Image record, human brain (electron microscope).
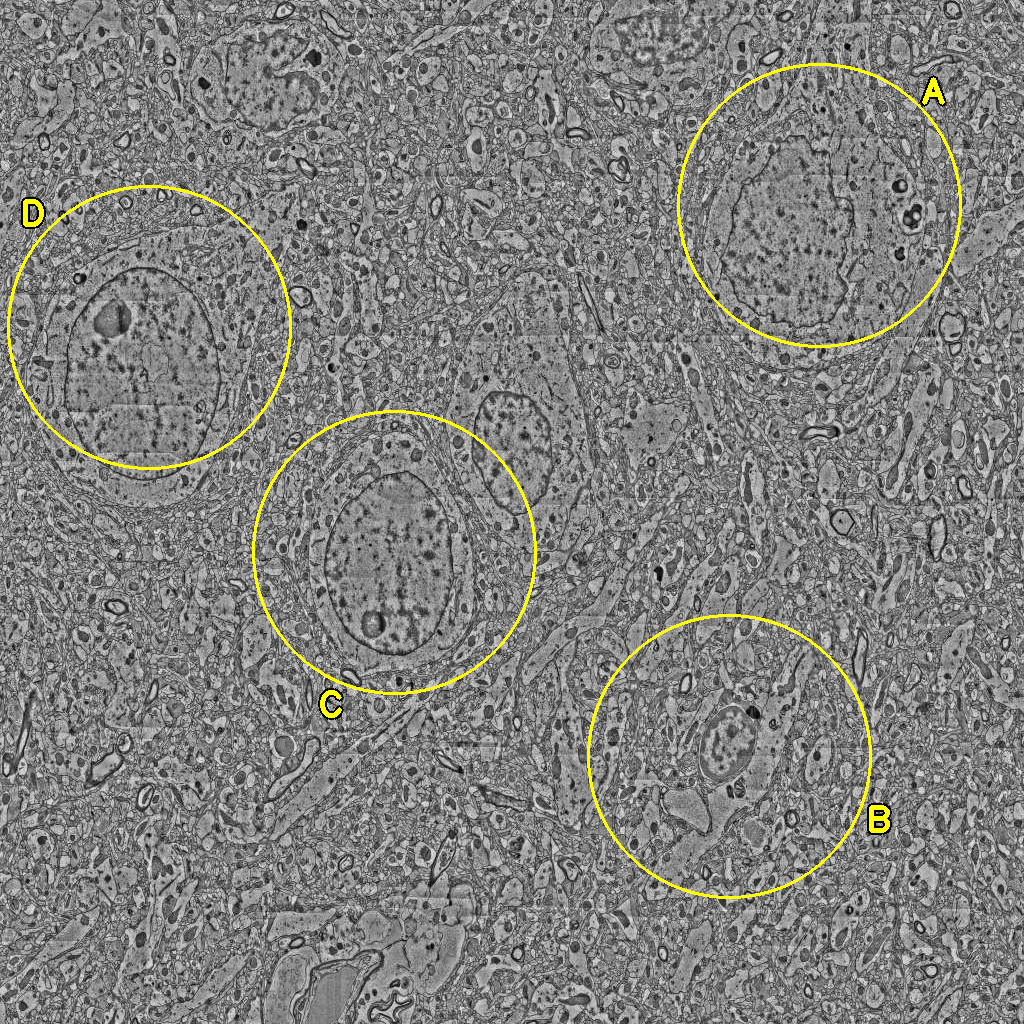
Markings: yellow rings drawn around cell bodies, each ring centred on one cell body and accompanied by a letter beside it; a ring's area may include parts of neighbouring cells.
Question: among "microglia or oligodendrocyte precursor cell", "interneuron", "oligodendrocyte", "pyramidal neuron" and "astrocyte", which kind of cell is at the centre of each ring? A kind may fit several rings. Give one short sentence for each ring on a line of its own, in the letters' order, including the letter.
Ring A is centred on the cell body of a pyramidal neuron.
Ring B is centred on the cell body of a microglial cell or oligodendrocyte precursor cell.
Ring C is centred on the cell body of a pyramidal neuron.
Ring D is centred on the cell body of a pyramidal neuron.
